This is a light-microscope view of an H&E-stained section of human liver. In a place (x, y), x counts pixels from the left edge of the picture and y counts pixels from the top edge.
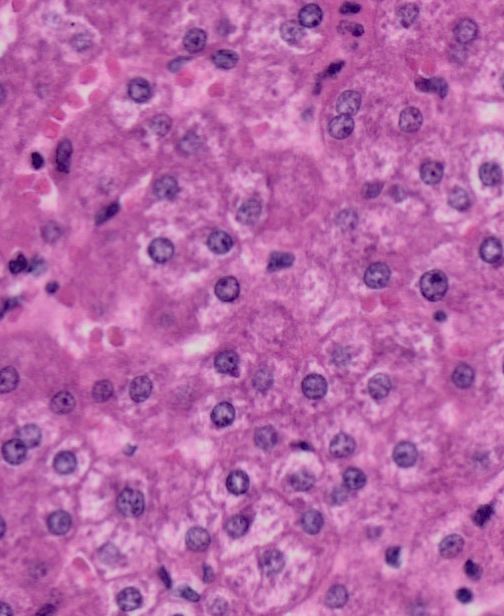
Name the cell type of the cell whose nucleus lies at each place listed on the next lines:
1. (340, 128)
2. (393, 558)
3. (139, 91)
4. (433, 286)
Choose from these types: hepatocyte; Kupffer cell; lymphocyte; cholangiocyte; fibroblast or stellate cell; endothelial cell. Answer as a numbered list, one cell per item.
1. hepatocyte
2. endothelial cell
3. hepatocyte
4. hepatocyte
